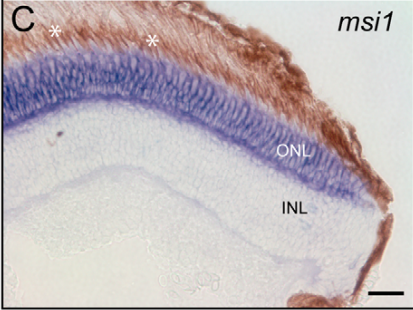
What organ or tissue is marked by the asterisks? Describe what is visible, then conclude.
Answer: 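The asterisks sit on a dark brown pigmented layer at the outer surface of the retina. The pigmented layer borders the blue-stained layer of elongated cells. The answer: retinal pigmented (dark brown) epithelium.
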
